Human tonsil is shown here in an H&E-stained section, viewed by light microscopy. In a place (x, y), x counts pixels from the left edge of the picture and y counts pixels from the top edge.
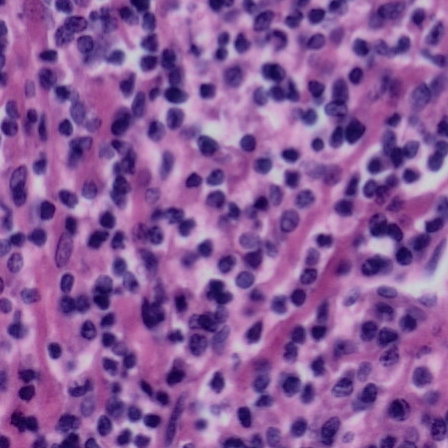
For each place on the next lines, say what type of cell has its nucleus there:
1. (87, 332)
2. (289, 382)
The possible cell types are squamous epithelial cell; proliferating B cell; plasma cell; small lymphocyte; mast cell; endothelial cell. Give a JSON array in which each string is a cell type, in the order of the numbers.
["plasma cell", "mast cell"]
